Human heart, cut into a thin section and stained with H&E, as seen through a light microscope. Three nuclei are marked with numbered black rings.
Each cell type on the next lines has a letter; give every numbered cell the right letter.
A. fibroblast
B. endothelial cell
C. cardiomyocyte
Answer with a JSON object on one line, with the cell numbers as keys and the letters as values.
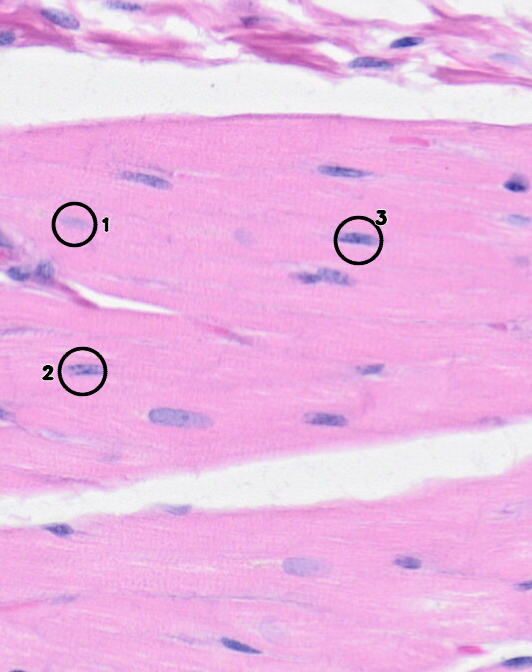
{"1": "C", "2": "B", "3": "B"}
